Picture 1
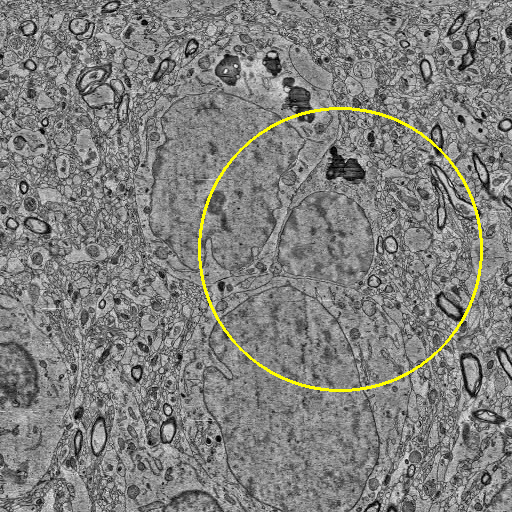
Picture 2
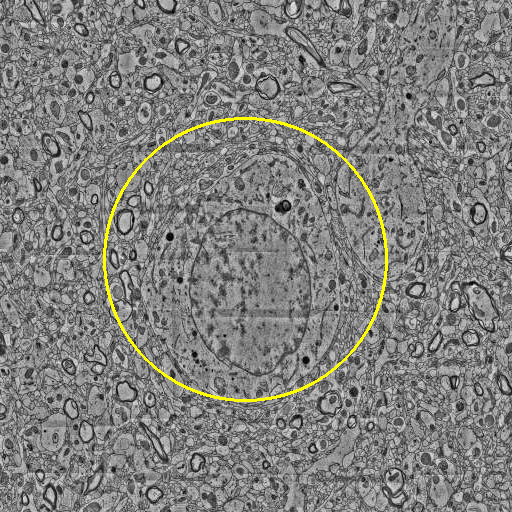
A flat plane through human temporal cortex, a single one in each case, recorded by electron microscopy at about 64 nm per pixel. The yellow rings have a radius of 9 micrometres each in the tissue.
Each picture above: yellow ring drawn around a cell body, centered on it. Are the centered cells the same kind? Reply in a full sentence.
No, the two cells are two kinds of cell.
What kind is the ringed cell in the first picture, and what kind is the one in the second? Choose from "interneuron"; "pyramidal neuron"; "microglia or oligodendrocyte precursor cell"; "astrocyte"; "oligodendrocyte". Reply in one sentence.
The first cell is an oligodendrocyte; the second is a pyramidal neuron.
